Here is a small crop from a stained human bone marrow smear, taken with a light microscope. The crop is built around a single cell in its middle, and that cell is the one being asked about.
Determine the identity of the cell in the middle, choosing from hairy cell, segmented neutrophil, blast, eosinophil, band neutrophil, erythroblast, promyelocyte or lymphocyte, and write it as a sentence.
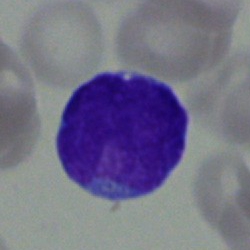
The cell found in the middle of this crop is a blast.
